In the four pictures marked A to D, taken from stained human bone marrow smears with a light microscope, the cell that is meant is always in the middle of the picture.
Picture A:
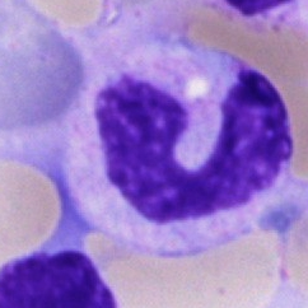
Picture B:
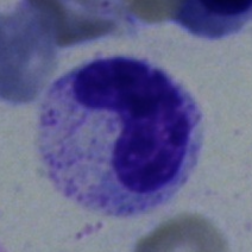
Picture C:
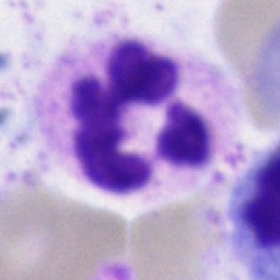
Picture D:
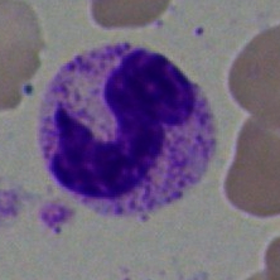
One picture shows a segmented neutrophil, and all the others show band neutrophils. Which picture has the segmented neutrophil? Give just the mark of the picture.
C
